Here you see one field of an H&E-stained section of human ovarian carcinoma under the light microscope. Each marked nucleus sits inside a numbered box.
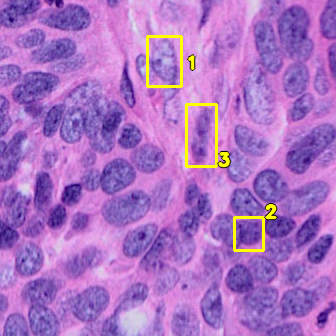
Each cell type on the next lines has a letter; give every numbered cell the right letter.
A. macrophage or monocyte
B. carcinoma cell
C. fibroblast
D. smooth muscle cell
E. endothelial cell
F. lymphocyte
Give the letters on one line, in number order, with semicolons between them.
C; B; C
